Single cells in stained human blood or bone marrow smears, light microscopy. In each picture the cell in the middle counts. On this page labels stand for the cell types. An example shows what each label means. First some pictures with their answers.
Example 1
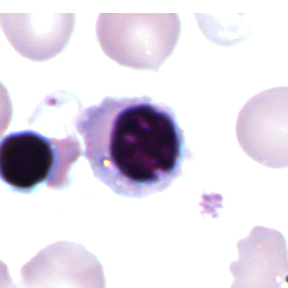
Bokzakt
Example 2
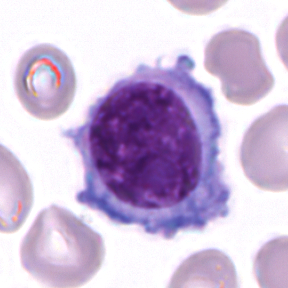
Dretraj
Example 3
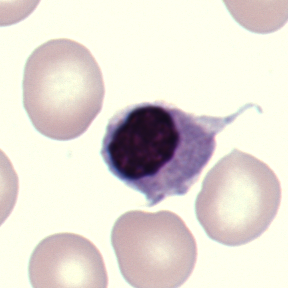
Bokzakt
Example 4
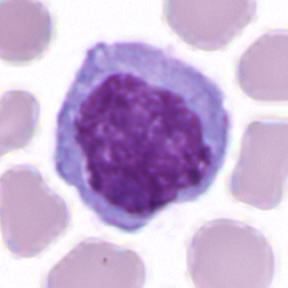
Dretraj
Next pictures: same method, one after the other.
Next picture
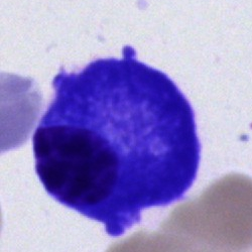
Dretraj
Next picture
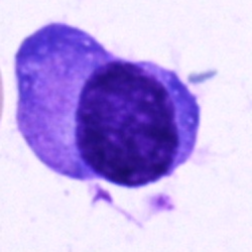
Dretraj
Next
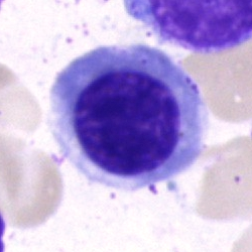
Bokzakt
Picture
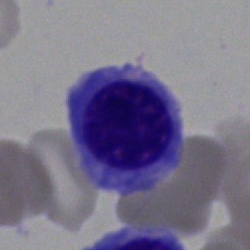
Bokzakt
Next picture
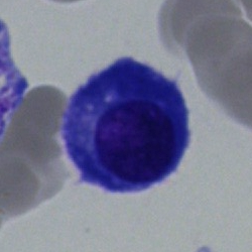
Dretraj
